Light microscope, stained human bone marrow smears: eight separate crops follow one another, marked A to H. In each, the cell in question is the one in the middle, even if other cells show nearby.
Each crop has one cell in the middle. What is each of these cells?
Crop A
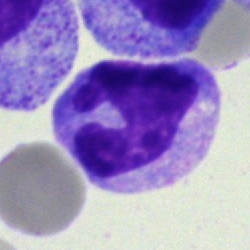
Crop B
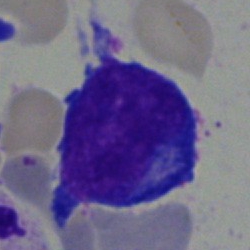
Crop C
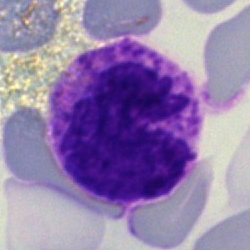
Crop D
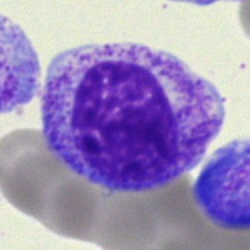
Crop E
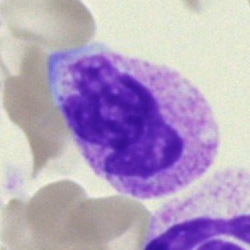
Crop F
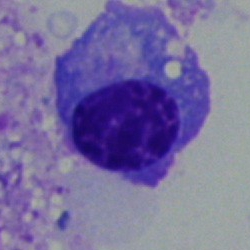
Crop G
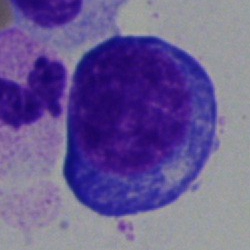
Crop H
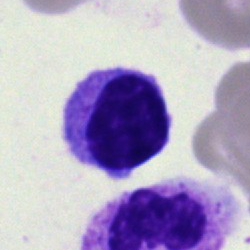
A: monocyte
B: proerythroblast
C: basophil
D: myelocyte
E: segmented neutrophil
F: plasma cell
G: proerythroblast
H: lymphocyte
